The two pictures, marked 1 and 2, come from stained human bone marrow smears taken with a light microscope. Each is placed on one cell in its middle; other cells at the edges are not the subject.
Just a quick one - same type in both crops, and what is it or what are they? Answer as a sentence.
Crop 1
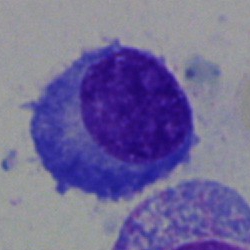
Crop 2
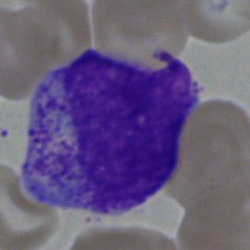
No, a myelocyte is in crop 2, and a plasma cell is in crop 1.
